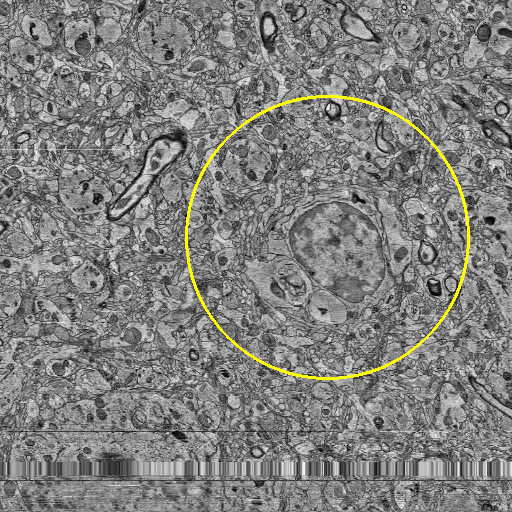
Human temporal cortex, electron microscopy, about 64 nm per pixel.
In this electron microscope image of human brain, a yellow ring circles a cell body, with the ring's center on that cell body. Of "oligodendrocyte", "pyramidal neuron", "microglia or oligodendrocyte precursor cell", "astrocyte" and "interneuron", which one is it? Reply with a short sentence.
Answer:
It is a microglial cell or oligodendrocyte precursor cell at the center of the ring.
